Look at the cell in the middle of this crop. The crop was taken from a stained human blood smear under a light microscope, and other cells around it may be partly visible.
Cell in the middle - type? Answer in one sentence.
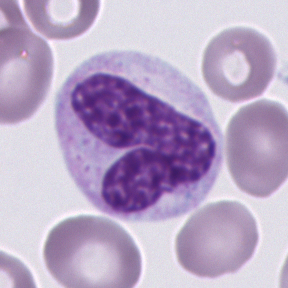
The cell at the heart of this crop is a band neutrophil.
